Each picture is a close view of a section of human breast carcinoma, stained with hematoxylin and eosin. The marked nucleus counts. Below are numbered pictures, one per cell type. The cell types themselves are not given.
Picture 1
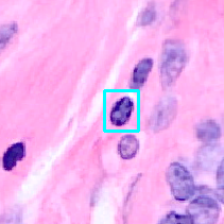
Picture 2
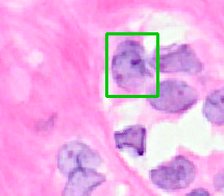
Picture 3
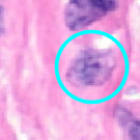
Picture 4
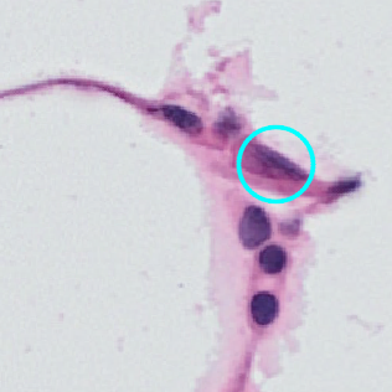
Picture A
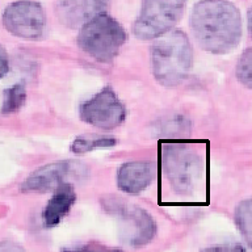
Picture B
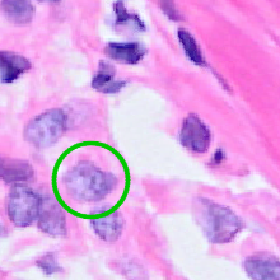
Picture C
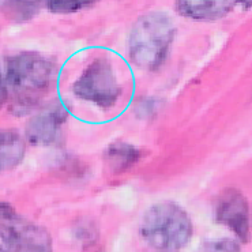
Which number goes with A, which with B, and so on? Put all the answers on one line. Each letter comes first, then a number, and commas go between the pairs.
A 2, B 2, C 2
